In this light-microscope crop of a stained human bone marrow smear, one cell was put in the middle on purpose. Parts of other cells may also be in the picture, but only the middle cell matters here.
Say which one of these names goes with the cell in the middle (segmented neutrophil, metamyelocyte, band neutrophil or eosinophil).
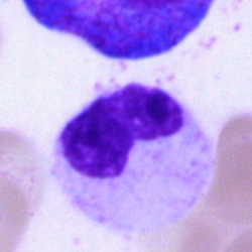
metamyelocyte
